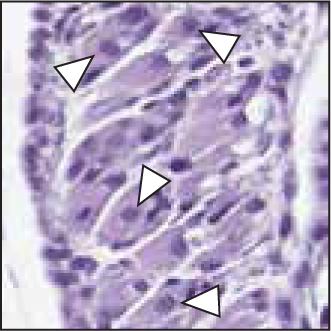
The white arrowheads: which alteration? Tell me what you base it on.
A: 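Elongated pink fibers are packed side by side. The marked fibers carry a dark purple nucleus in their middle rather than at their edge.
Muscle fibers with centrally located nuclei.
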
